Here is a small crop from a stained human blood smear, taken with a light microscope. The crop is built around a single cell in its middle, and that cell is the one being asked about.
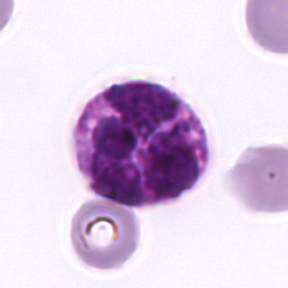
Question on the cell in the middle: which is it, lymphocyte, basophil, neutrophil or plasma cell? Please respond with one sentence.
The cell featured at the centre of this crop is a basophil.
